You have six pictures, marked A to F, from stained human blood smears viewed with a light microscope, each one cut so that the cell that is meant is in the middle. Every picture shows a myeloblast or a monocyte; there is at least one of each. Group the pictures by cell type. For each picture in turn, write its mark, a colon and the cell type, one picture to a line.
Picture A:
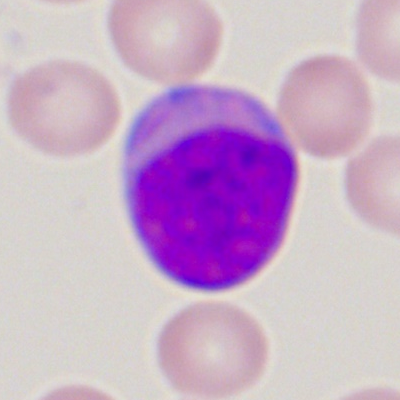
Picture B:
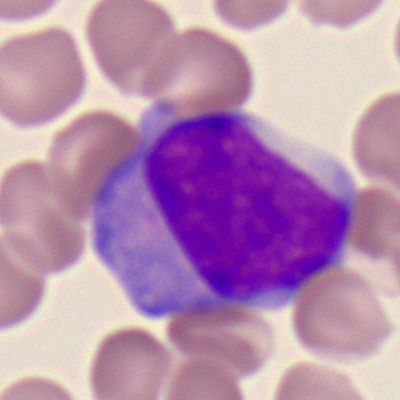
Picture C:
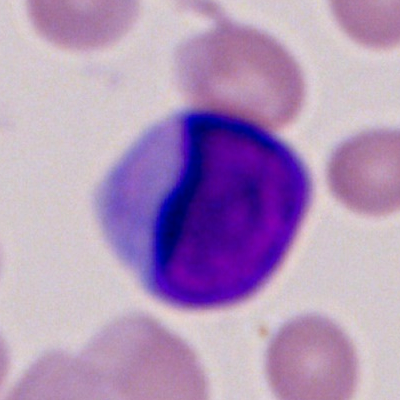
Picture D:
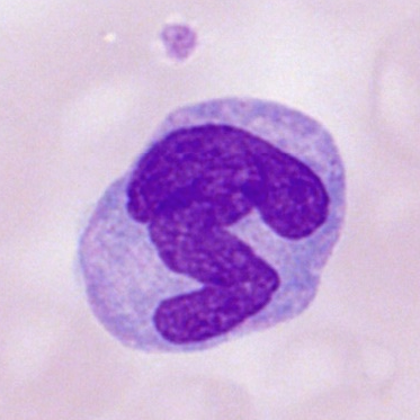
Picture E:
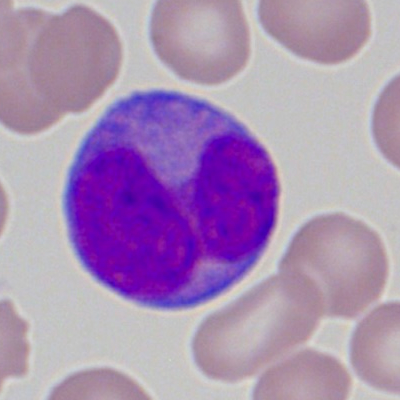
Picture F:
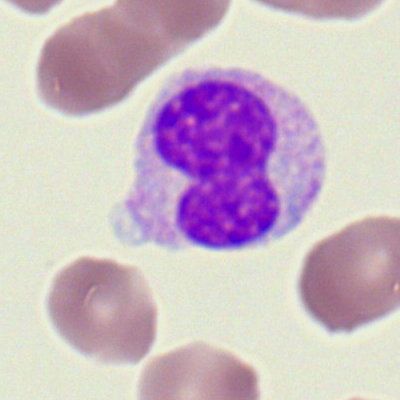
A: myeloblast
B: myeloblast
C: myeloblast
D: monocyte
E: myeloblast
F: monocyte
